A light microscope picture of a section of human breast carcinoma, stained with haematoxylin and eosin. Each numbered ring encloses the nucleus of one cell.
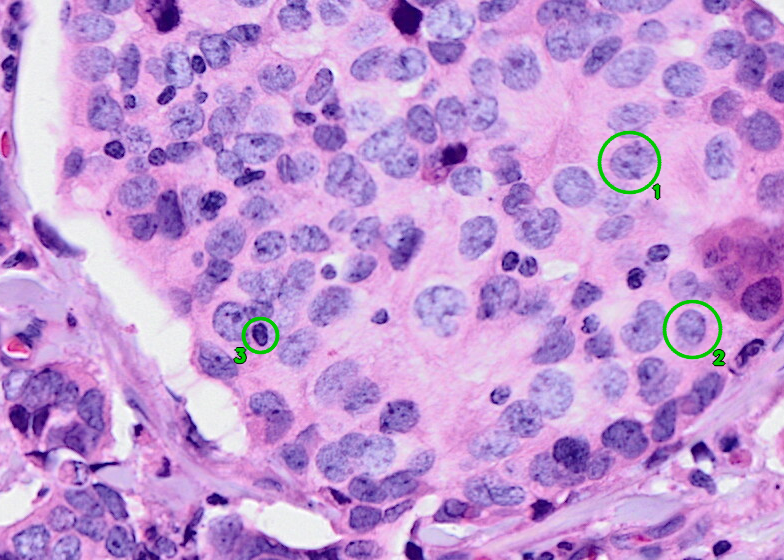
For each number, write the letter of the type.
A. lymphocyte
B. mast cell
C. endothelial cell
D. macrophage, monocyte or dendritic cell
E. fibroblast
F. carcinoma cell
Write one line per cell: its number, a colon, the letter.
1: F
2: F
3: A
